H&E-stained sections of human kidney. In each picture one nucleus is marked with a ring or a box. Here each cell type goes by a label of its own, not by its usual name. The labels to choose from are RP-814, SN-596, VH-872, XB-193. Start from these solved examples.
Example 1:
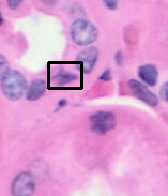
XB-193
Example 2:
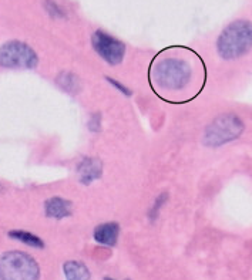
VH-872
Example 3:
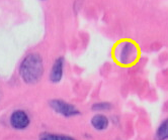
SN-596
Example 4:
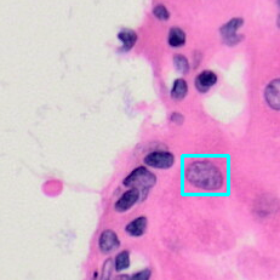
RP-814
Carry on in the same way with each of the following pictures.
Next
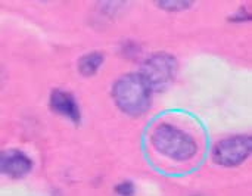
VH-872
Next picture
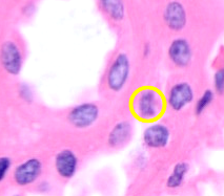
VH-872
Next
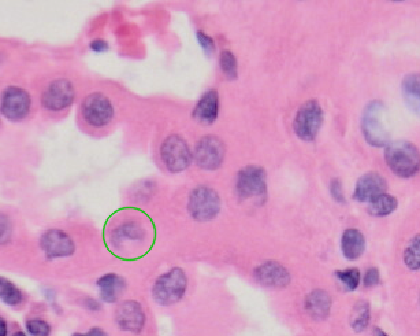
VH-872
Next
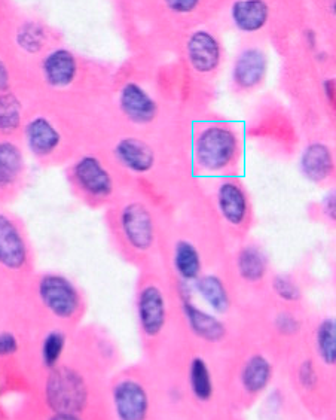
VH-872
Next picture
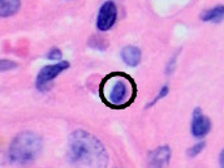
SN-596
